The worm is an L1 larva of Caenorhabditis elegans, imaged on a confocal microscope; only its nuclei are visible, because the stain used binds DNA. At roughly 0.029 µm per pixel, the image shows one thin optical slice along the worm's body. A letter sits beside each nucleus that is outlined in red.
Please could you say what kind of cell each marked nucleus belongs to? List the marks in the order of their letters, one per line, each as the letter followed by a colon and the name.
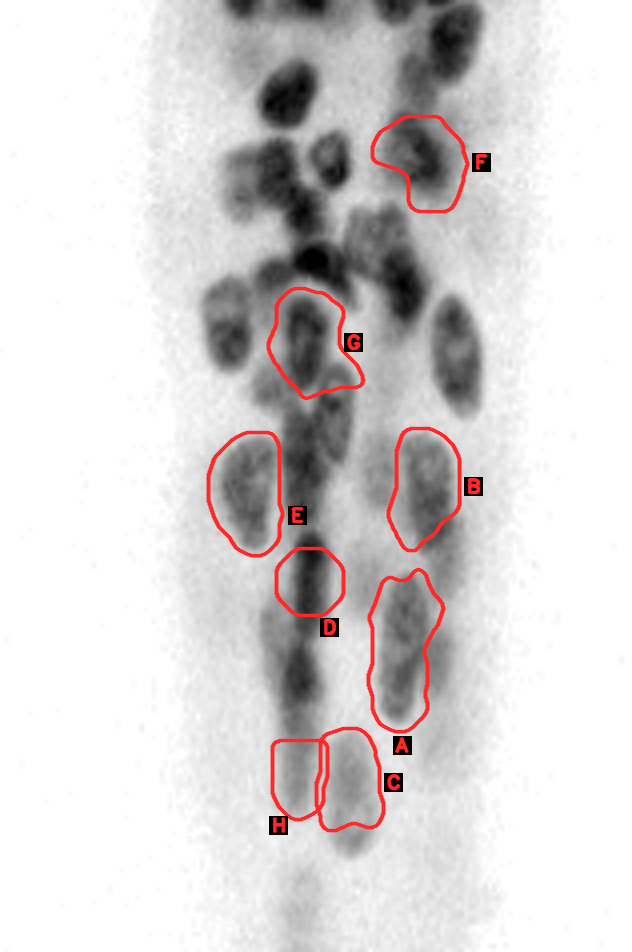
A: body wall muscle cell
B: body wall muscle cell
C: hypodermal cell (hyp)
D: pharyngeal epithelial cell
E: body wall muscle cell
F: pharyngeal muscle cell
G: neuron
H: pharyngeal muscle cell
